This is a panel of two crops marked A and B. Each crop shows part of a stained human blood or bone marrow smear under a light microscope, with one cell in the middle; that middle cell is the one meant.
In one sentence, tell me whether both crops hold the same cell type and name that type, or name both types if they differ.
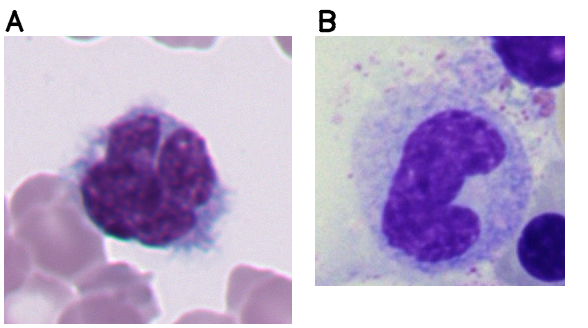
Yes, both crops show monocytes in their central position.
